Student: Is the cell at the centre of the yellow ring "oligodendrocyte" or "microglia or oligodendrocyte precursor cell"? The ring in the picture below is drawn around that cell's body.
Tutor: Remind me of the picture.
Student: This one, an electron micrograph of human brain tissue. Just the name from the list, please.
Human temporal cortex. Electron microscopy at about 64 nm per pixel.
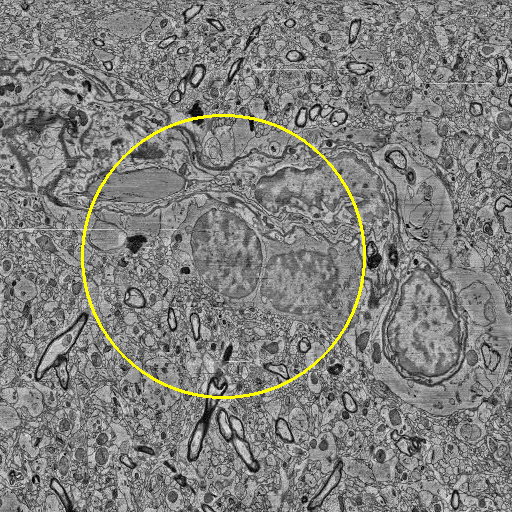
oligodendrocyte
